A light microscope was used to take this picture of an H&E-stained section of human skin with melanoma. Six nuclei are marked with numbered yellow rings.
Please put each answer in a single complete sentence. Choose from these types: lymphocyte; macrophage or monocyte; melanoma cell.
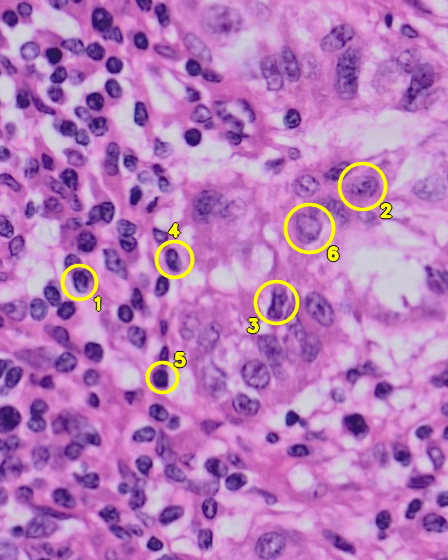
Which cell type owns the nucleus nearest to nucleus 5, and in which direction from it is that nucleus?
The nearest one is a macrophage or monocyte, found above nucleus 5.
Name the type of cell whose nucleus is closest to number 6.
It is a melanoma cell whose nucleus is nearest to number 6.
